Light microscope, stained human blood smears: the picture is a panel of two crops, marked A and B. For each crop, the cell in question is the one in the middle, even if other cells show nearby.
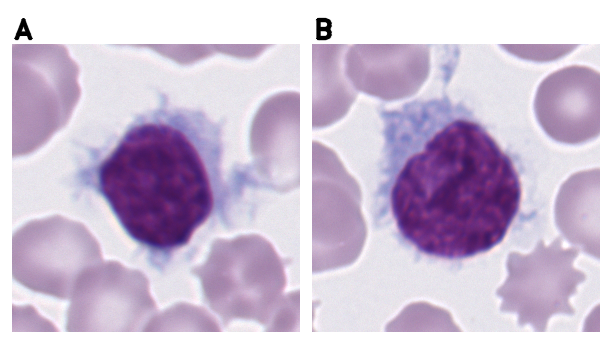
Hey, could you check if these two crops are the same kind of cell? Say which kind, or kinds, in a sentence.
Yes, both of the crops show hairy cells.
